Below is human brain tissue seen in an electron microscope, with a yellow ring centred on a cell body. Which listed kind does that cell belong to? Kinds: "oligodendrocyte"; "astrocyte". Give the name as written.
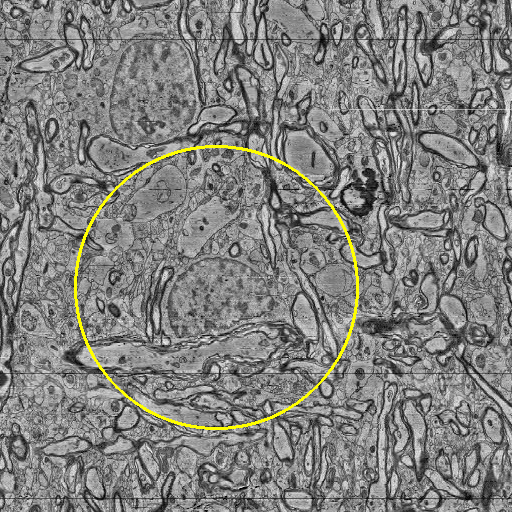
oligodendrocyte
